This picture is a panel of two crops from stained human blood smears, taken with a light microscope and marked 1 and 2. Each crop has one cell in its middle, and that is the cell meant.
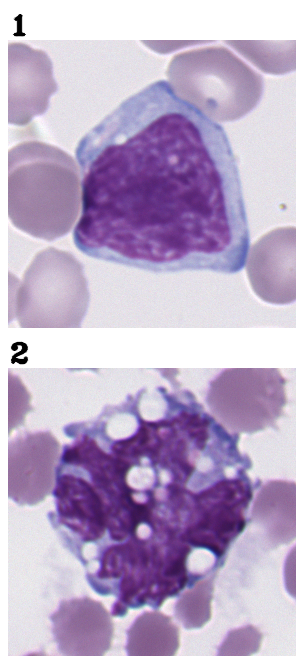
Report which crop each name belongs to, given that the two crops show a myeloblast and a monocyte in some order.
1: myeloblast
2: monocyte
